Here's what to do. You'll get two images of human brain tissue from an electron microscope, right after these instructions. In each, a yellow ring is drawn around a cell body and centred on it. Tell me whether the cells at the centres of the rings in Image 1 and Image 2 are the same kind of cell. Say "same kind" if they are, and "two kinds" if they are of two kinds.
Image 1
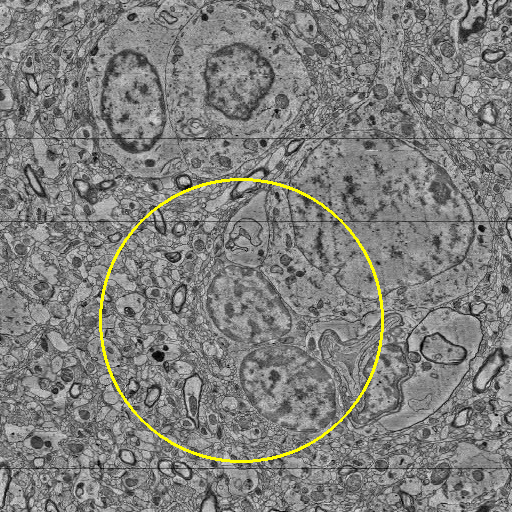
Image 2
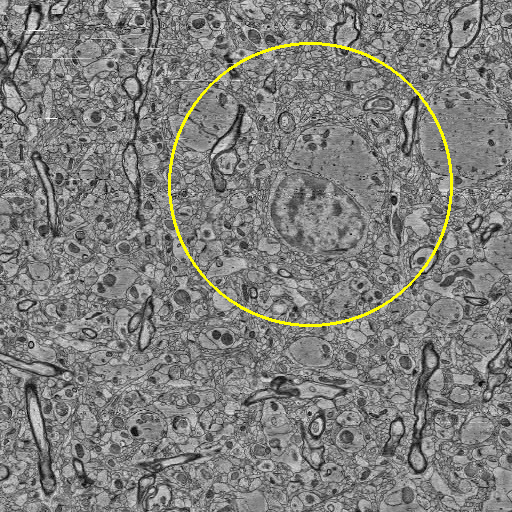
same kind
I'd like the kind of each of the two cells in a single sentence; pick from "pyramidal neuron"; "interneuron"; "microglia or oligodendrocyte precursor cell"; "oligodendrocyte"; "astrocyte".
The second cell is an oligodendrocyte, just as the first is.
